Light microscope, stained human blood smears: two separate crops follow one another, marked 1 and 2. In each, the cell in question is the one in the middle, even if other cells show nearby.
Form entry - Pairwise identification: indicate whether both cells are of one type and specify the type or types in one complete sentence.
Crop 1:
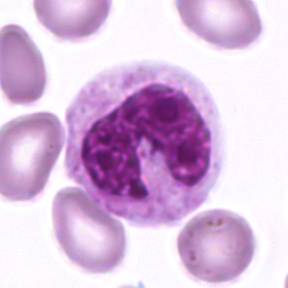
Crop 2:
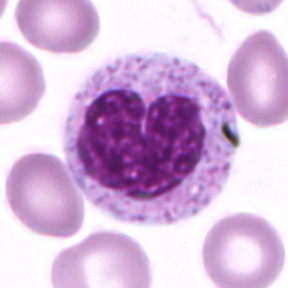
Yes, the cells in both crops are band neutrophils.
